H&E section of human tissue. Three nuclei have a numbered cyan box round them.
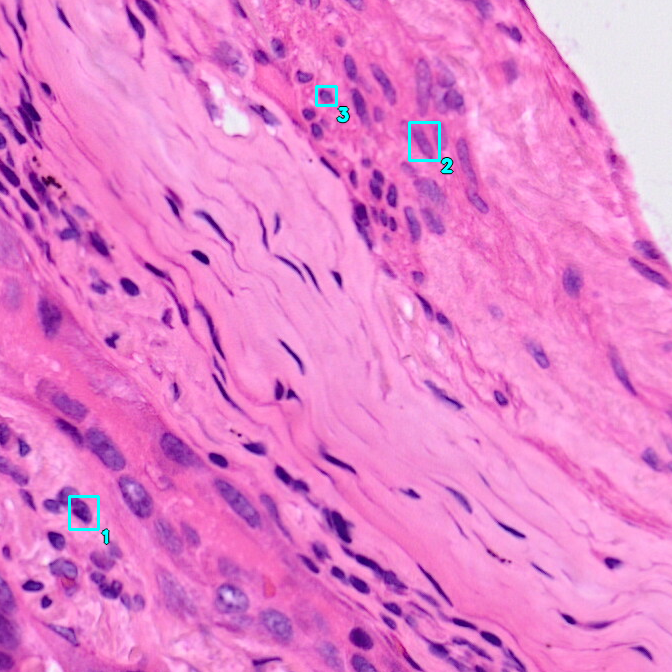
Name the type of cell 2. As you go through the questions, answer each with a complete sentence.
Cell 2, as marked in the section, is a smooth muscle cell or pericyte.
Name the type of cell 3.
In the tissue shown, cell 3 is a smooth muscle cell or pericyte.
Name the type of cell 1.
Looking at the numbered marks, cell 1 is a lymphocyte.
